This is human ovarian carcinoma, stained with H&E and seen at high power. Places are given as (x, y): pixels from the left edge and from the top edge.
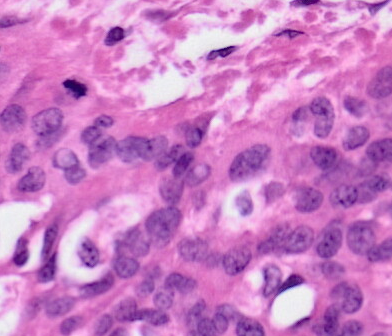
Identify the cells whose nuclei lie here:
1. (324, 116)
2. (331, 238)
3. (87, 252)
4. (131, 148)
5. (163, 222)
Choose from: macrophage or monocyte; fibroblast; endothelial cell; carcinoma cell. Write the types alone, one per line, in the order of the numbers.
macrophage or monocyte
carcinoma cell
macrophage or monocyte
carcinoma cell
carcinoma cell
